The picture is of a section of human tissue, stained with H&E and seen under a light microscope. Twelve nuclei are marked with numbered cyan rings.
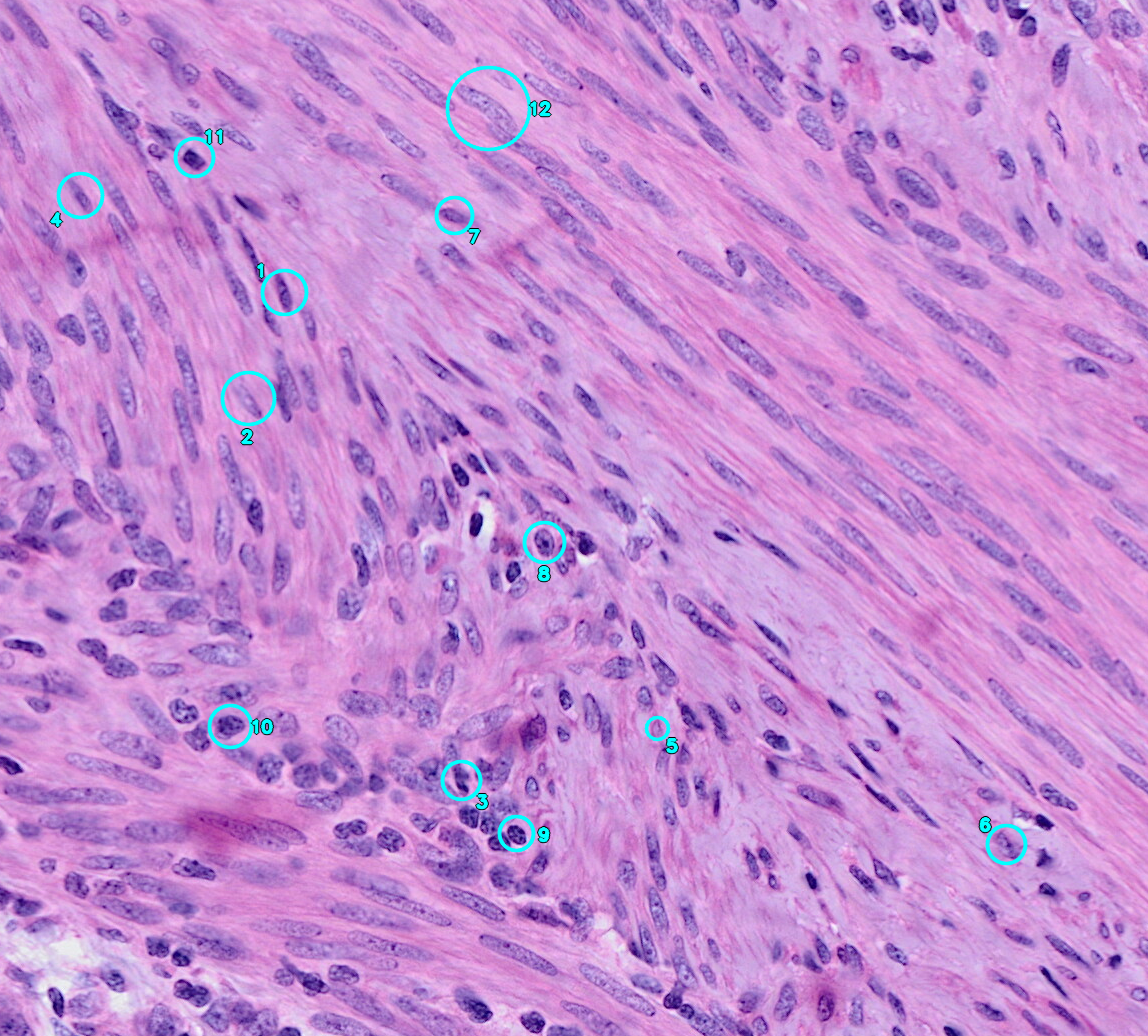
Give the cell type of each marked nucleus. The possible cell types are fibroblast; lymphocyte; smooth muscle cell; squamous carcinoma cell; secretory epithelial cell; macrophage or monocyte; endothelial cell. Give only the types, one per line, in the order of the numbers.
smooth muscle cell
smooth muscle cell
lymphocyte
smooth muscle cell
smooth muscle cell
smooth muscle cell
smooth muscle cell
lymphocyte
lymphocyte
lymphocyte
lymphocyte
smooth muscle cell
